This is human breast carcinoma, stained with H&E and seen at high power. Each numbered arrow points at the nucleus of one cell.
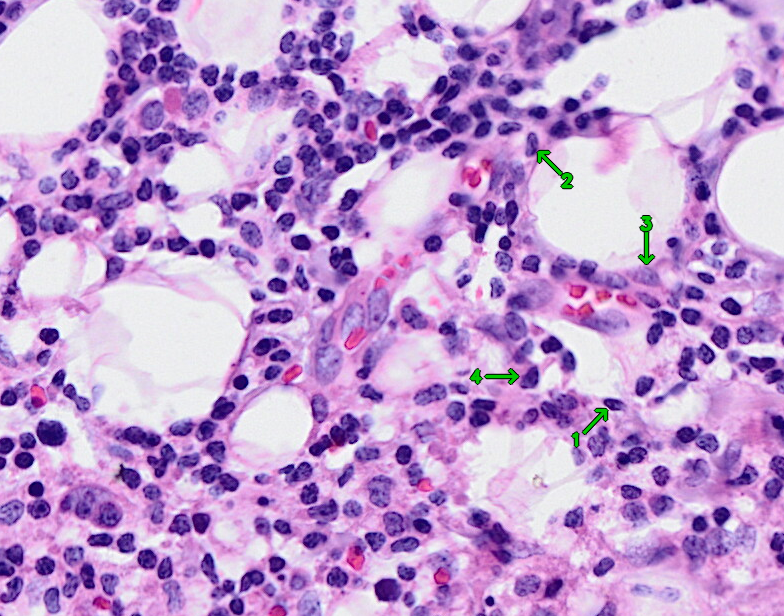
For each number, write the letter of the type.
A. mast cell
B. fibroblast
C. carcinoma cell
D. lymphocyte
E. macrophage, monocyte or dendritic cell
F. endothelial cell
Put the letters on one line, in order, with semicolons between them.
D; D; F; D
